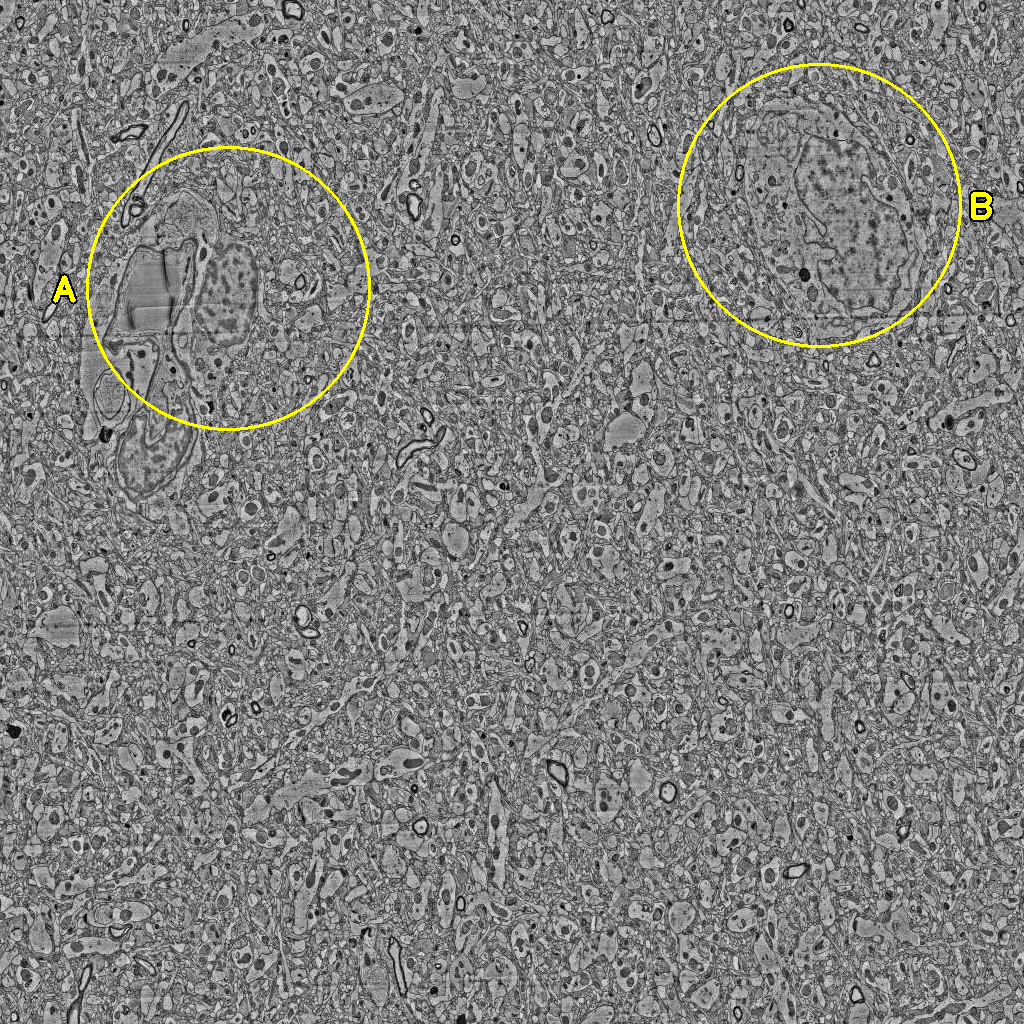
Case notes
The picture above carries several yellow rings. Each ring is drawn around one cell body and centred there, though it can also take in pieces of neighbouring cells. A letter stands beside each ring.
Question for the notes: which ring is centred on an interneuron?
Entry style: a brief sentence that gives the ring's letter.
Ring B is centred on it.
